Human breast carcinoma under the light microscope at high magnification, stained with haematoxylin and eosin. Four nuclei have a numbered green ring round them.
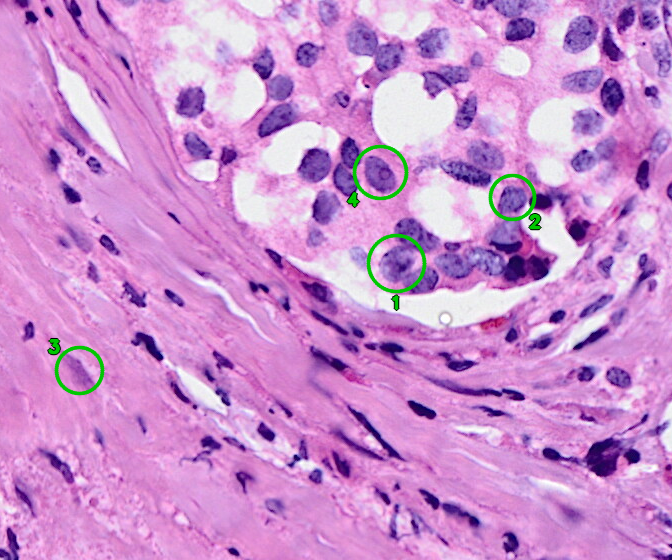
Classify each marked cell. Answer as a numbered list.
1. carcinoma cell
2. carcinoma cell
3. fibroblast
4. carcinoma cell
